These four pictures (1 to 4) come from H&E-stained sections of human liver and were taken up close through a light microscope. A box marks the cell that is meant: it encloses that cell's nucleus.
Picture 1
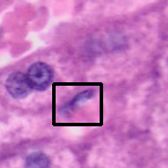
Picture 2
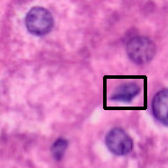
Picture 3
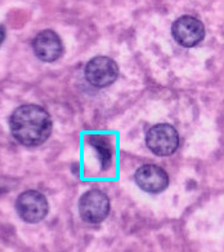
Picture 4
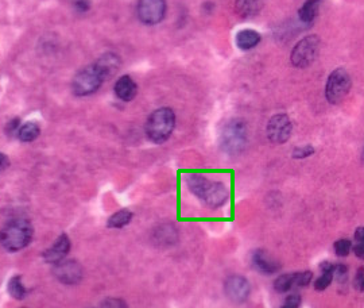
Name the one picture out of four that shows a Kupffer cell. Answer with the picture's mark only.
4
